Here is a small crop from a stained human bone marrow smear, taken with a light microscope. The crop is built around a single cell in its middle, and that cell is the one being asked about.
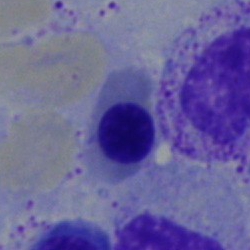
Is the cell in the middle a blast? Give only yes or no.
no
